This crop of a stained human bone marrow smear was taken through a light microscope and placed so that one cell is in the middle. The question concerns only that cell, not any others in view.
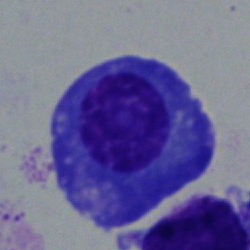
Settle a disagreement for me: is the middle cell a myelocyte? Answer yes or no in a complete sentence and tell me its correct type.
No, what lies at the heart of the crop is a plasma cell, not a myelocyte.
